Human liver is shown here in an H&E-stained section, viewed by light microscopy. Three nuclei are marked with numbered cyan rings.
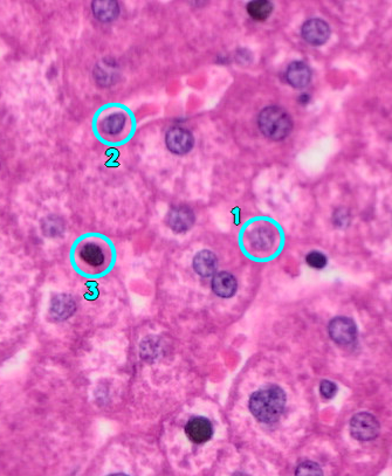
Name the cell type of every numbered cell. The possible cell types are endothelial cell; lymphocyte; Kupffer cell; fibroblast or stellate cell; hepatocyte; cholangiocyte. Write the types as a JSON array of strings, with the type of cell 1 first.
["hepatocyte", "Kupffer cell", "Kupffer cell"]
